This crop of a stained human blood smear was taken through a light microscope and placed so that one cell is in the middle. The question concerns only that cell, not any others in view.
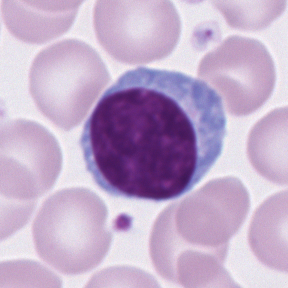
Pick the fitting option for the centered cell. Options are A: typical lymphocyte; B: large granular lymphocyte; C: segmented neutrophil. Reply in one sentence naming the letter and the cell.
With the cell in the middle being a typical lymphocyte, option A is the correct choice.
